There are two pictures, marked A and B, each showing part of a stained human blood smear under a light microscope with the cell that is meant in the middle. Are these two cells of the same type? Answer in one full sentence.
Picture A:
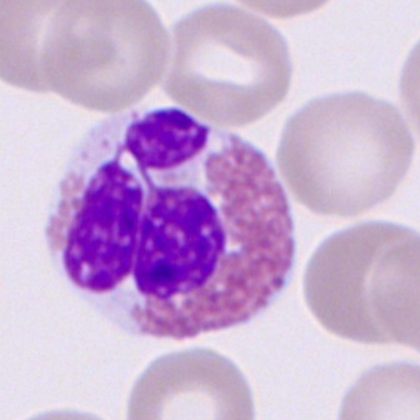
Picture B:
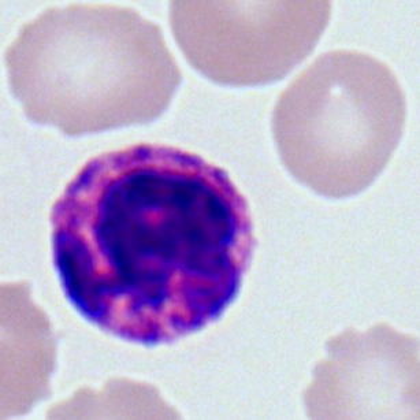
No; the cell in picture A is an eosinophil, while the one in picture B is a basophil.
